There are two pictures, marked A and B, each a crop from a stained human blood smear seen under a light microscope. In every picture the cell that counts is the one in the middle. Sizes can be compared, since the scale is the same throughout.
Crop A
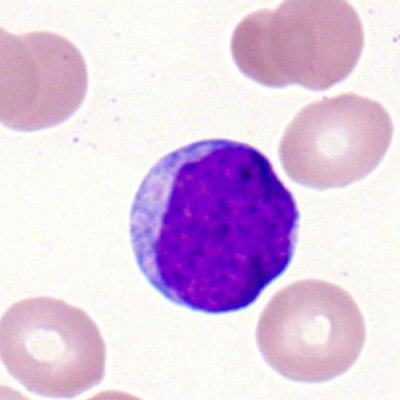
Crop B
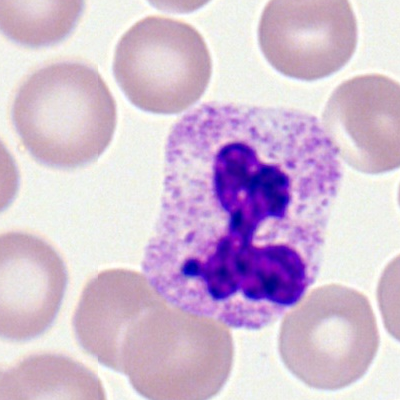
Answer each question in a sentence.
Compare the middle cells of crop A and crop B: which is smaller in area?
Crop A holds the smaller cell, since the cell in crop B covers about 1.5 times as much area.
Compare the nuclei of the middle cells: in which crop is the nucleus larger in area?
Larger is the nucleus in crop A, at roughly 1.5 times the area of the other.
